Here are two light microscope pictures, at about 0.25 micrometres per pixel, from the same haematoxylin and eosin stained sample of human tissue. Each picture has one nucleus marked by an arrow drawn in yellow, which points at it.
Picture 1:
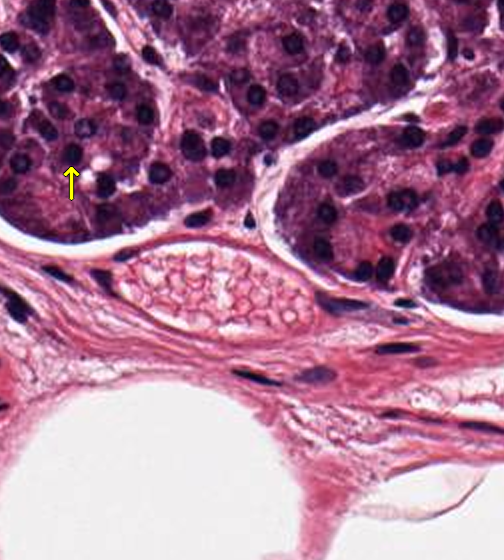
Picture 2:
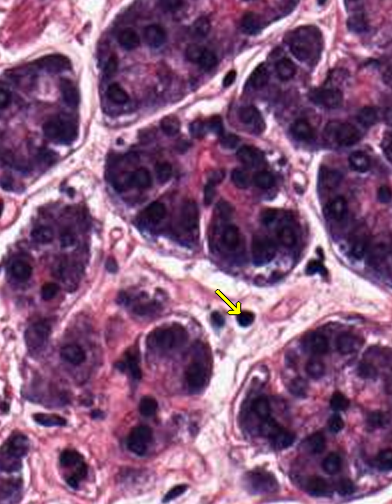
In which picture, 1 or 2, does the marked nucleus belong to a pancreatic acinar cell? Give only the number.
1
